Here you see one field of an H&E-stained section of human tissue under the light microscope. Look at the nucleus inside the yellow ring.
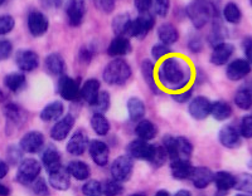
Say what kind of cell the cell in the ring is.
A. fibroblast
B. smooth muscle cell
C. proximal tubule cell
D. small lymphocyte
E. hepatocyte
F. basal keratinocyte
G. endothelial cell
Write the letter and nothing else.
D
